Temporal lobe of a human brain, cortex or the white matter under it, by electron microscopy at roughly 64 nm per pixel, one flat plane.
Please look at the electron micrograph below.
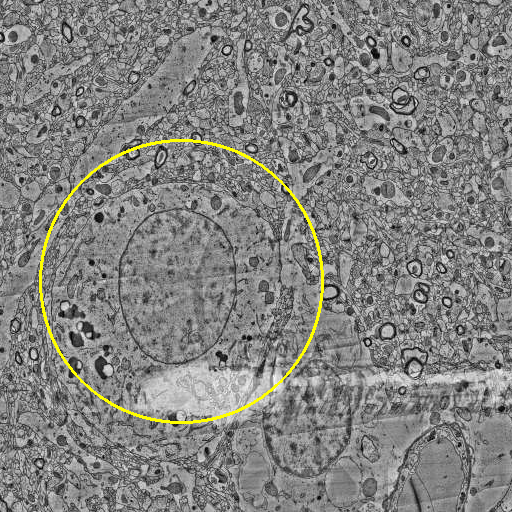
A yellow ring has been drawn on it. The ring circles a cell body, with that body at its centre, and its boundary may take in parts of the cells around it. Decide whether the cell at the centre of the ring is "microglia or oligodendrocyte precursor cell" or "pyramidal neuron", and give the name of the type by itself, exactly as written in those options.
pyramidal neuron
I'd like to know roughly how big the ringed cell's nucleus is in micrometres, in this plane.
About 10 by 8 micrometers, in this plane.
